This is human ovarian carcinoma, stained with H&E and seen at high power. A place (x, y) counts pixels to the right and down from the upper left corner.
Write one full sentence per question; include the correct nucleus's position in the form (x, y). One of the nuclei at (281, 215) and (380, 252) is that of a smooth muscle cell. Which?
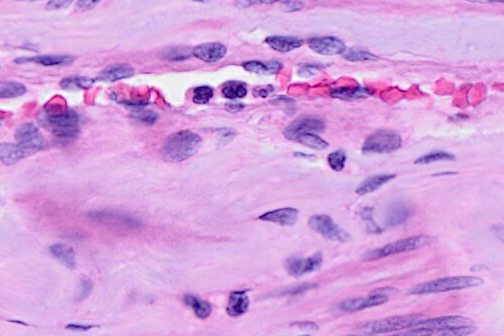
Of the pair, the nucleus positioned at (380, 252) is that of a smooth muscle cell.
